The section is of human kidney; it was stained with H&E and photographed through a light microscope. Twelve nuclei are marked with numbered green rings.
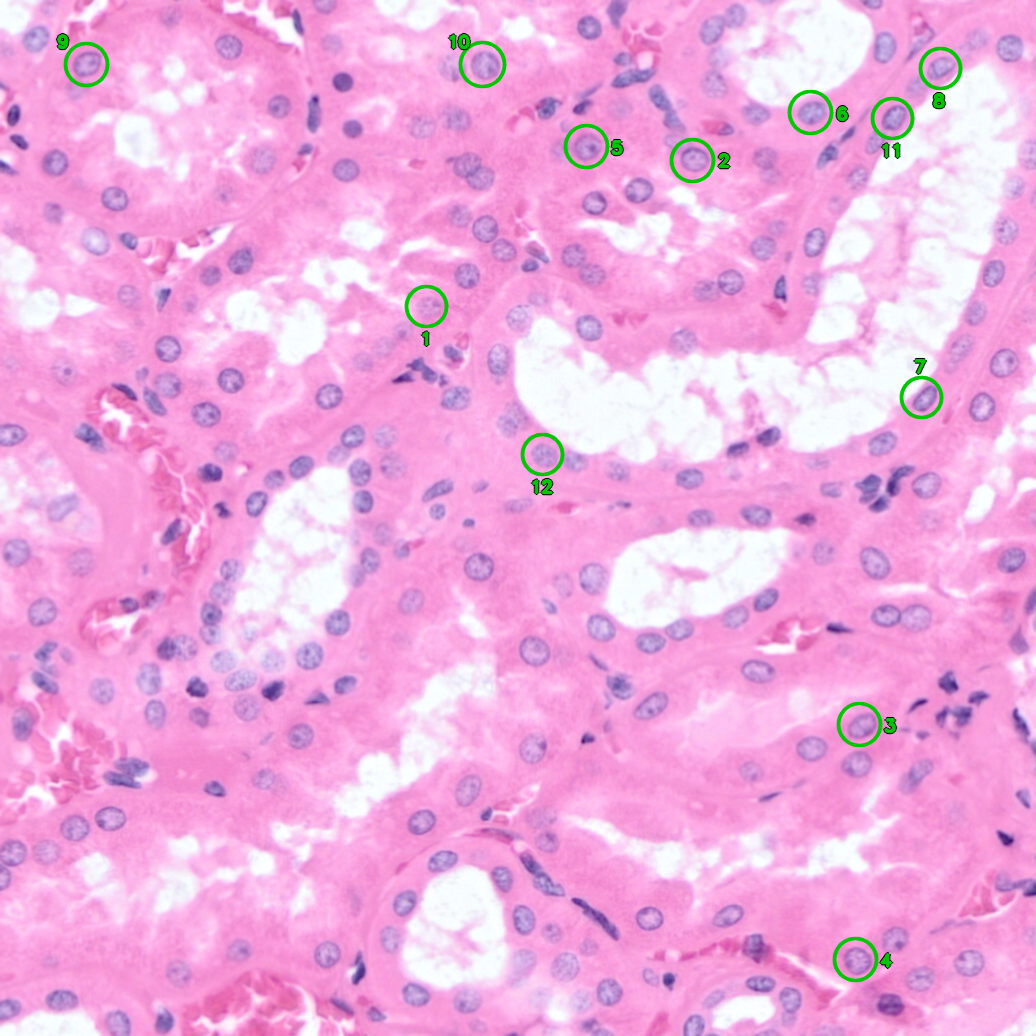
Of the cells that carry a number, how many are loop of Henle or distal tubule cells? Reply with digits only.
5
